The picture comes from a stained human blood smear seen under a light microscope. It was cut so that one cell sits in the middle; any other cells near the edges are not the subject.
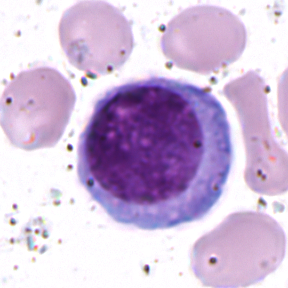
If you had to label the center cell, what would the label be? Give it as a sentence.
What sits at the centre of this crop is a plasma cell.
